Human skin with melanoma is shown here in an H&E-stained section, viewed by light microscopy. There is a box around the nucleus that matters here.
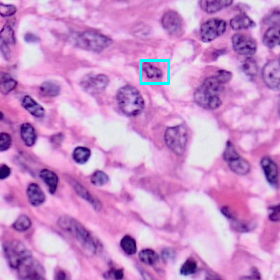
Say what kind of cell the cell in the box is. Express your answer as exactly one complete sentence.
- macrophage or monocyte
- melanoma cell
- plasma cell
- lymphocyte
Histopathologically, the cell in the box is a macrophage or monocyte.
